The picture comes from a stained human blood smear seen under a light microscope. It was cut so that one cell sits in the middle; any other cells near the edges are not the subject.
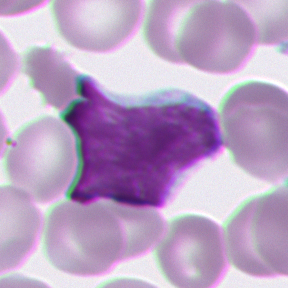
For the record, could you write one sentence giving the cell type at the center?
Whatever else lies nearby, the middle cell is a typical lymphocyte.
